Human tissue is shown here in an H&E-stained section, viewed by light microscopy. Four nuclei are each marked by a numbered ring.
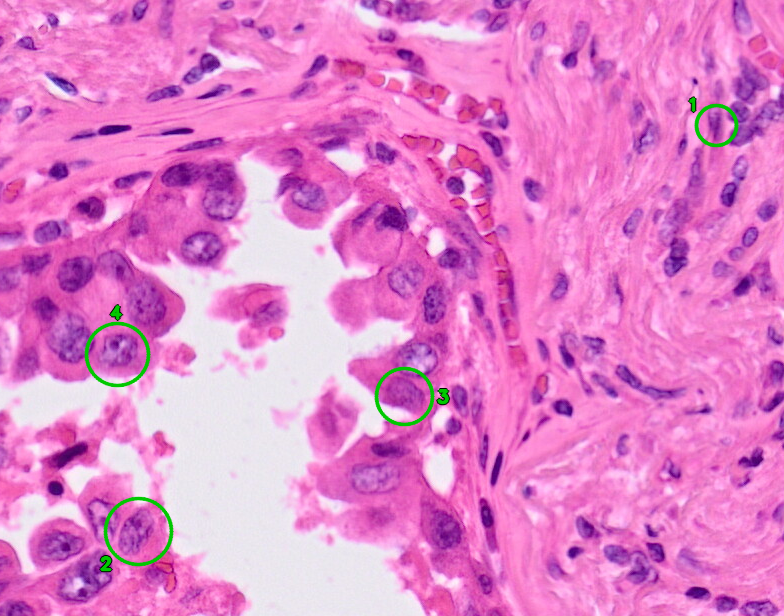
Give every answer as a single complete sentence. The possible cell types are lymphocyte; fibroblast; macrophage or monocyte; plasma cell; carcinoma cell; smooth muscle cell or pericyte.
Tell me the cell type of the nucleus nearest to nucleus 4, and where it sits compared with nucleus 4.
The closest nucleus belongs to a carcinoma cell and sits to the left of nucleus 4.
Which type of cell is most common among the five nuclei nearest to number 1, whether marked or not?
Lymphocytes account for more than half of the five nuclei nearest to number 1.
